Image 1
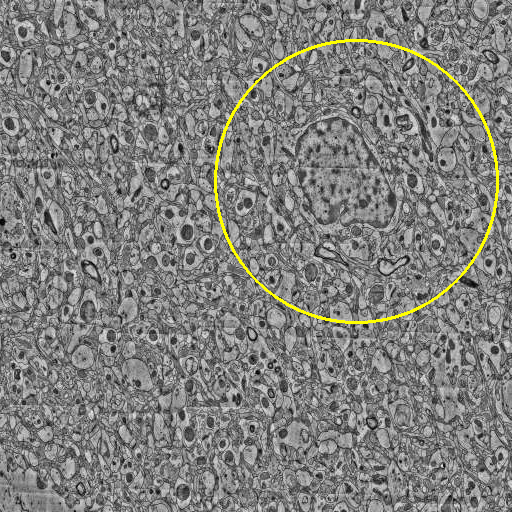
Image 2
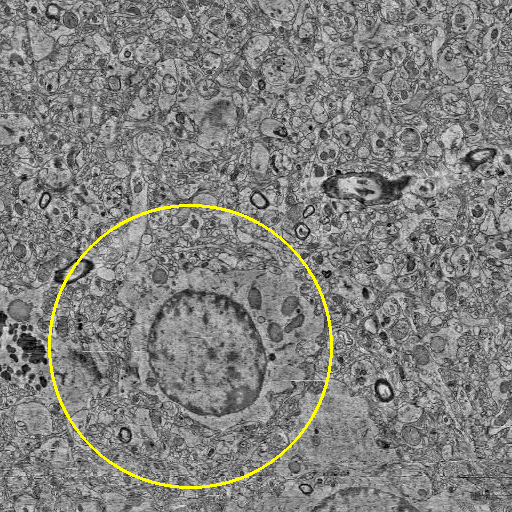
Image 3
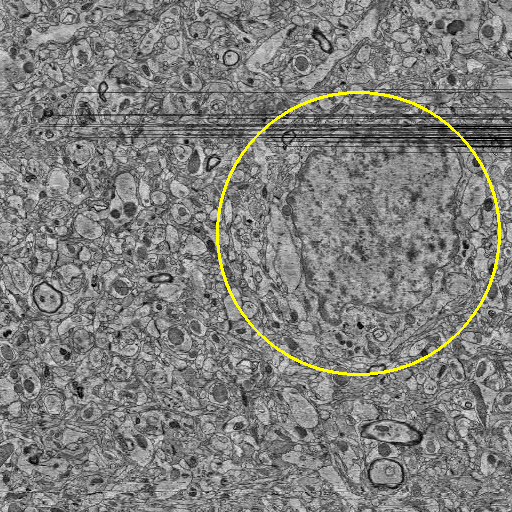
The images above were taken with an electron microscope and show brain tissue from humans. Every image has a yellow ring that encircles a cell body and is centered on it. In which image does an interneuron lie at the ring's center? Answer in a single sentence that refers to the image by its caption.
In Image 3, the cell at the center of the yellow ring is the correct match.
